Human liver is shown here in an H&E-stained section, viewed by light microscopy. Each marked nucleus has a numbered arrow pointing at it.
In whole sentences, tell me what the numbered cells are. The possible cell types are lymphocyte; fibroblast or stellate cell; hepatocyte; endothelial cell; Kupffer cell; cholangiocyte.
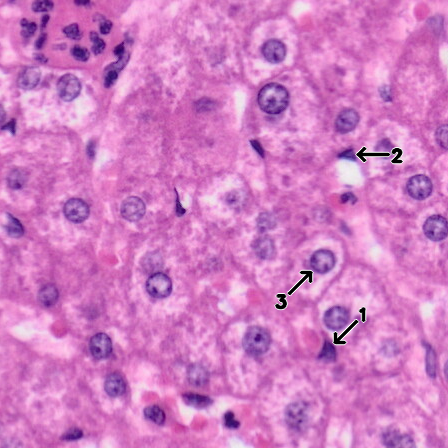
Cell 1 is a fibroblast or stellate cell, cell 2 is an endothelial cell and cell 3 is a hepatocyte.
